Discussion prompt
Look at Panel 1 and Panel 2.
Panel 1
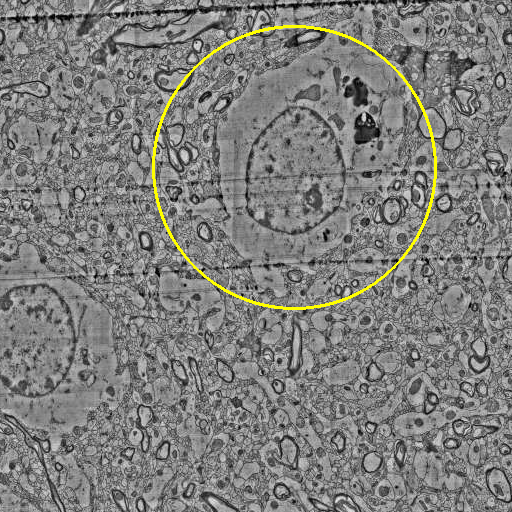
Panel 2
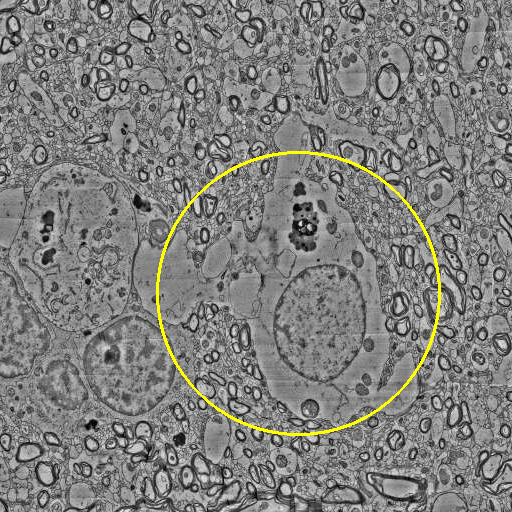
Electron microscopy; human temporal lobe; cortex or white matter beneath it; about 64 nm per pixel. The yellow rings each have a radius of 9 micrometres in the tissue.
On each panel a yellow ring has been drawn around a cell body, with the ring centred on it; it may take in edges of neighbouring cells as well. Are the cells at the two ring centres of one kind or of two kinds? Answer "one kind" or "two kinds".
one kind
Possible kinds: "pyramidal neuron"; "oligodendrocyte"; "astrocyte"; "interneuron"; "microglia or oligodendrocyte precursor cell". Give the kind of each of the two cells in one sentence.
Each of the two rings is centred on an astrocyte.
